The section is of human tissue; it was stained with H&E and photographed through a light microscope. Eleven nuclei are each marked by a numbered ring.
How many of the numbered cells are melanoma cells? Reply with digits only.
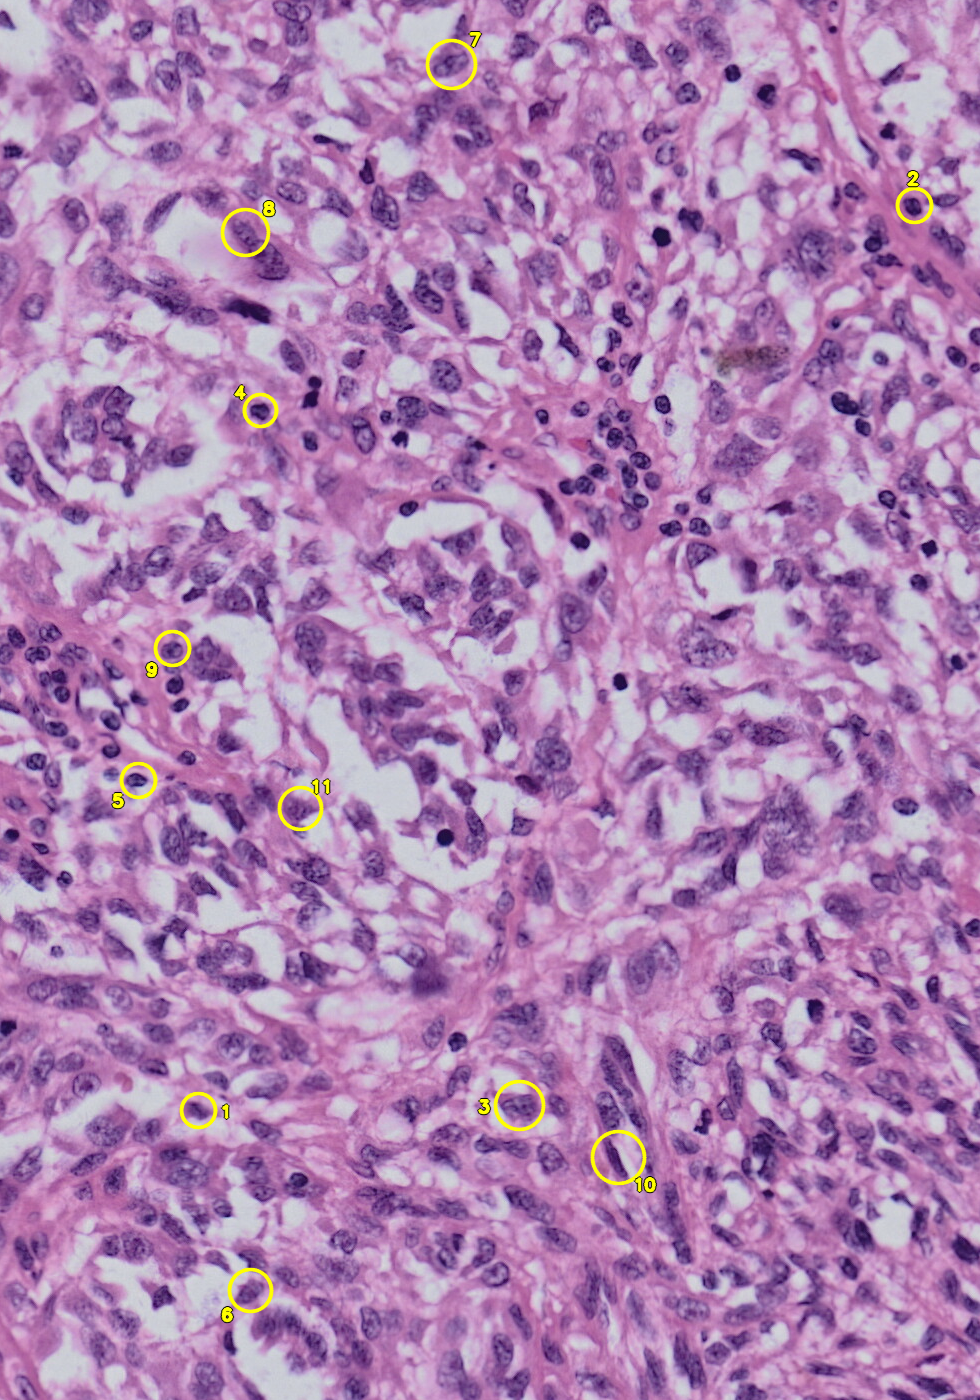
6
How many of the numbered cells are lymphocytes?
4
